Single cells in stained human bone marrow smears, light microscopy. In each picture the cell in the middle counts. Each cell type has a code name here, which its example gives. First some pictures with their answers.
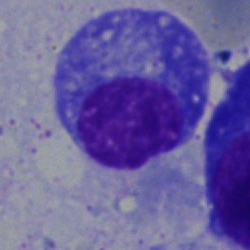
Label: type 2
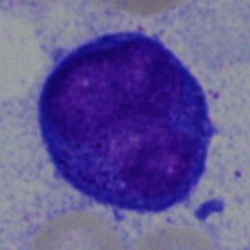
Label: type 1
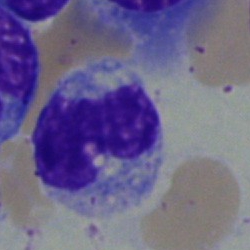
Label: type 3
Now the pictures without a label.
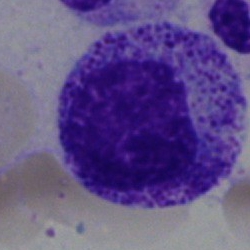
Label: type 1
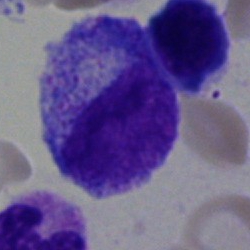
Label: type 1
